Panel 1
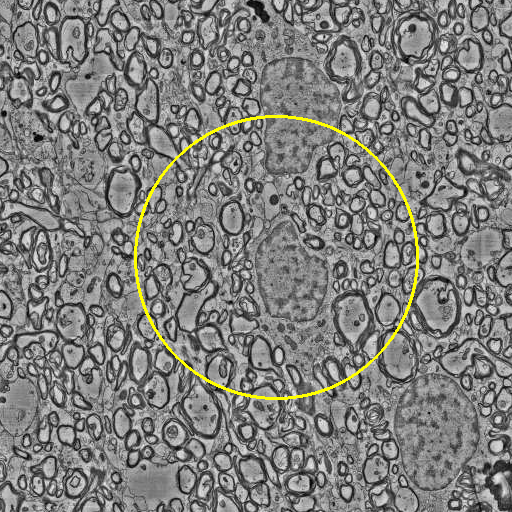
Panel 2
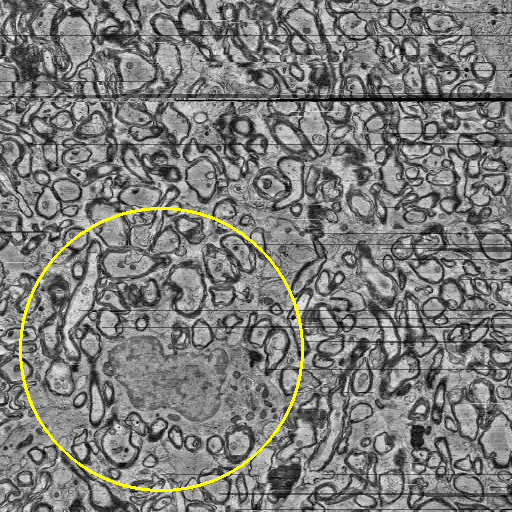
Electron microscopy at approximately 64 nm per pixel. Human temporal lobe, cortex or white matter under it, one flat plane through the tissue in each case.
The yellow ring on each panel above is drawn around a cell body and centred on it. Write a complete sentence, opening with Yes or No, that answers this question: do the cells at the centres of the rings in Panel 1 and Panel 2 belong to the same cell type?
Yes, both cells belong to the same cell type.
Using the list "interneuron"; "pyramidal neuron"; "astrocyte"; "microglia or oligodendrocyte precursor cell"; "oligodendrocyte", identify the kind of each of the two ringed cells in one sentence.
Each one of the two ringed cells is an oligodendrocyte.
